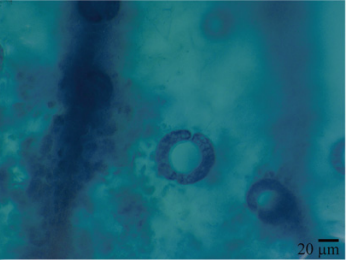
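Leaf surface with several guard cell pairs appearing as blue ring-shaped outlines around small central pores. A broad dark blue vein band runs vertically on the left, and the surrounding leaf tissue is diffusely stained blue.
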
